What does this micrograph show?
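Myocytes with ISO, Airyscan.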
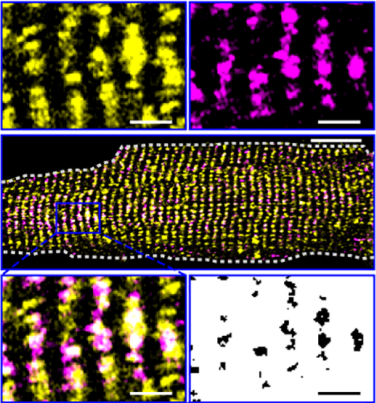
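Here again is a single cardiomyocyte, a long rectangular cell outlined by a dashed line and crossed by closely spaced transverse stripes. The yellow label forms broad bands along each stripe and the magenta label forms bright rounded spots along the same stripes. In the enlarged view the two colours overlap in many places, giving whitish patches where they meet.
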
